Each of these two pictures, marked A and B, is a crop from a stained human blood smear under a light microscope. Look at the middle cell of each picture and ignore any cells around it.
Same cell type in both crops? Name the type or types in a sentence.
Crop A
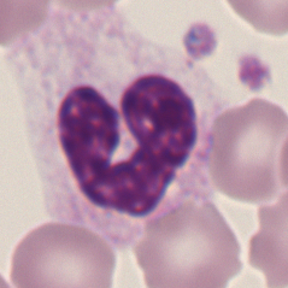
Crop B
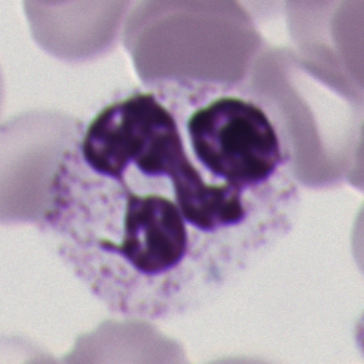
Yes, segmented neutrophils are shown in both crops.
